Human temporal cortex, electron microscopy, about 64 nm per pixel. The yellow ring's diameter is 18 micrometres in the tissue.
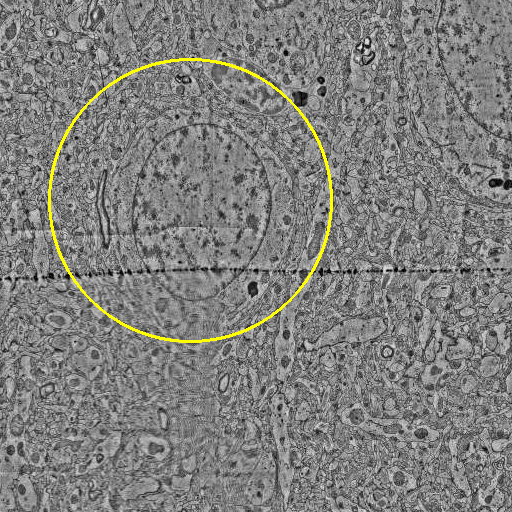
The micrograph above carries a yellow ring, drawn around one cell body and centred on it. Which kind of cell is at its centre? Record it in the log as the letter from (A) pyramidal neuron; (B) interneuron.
A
